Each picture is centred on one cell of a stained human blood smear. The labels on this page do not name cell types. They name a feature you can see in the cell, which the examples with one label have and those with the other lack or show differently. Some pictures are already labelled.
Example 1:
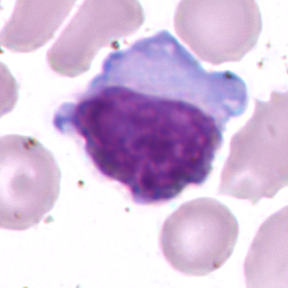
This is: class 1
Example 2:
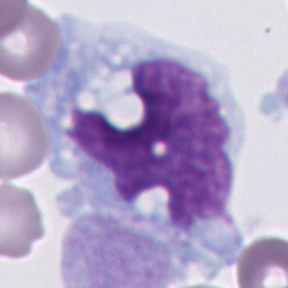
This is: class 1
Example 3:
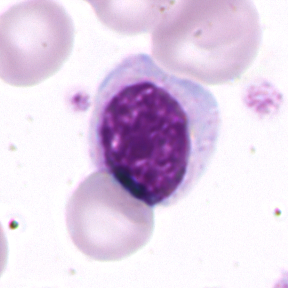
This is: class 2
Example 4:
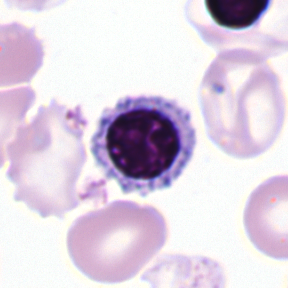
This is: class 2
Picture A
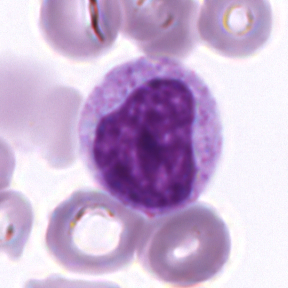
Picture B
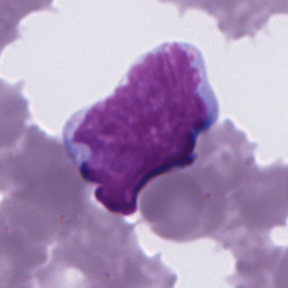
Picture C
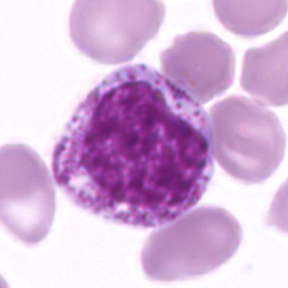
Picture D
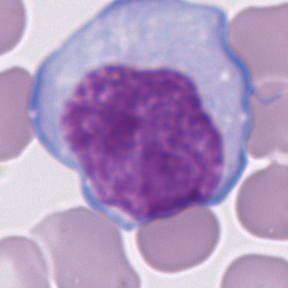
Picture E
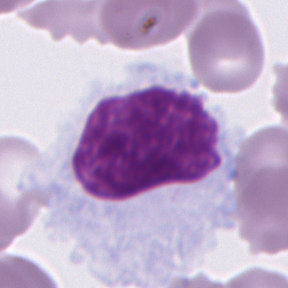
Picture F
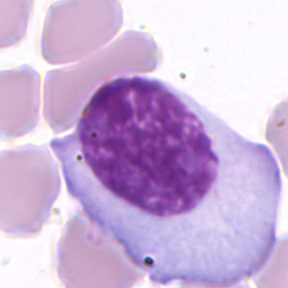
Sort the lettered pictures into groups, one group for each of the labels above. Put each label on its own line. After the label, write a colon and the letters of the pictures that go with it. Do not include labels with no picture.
class 1: D, E, F
class 2: A, B, C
